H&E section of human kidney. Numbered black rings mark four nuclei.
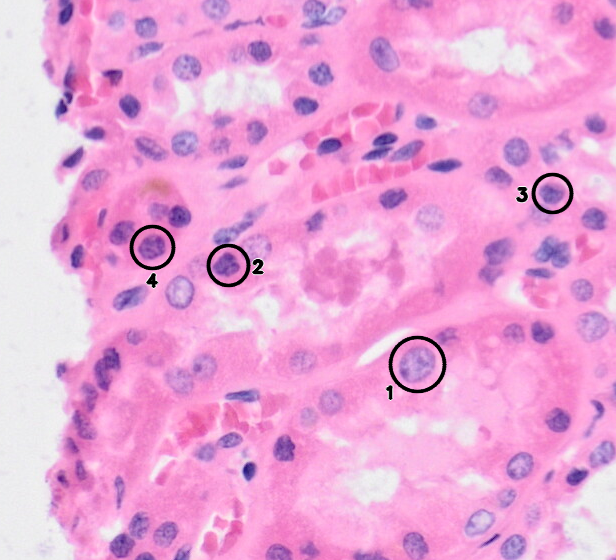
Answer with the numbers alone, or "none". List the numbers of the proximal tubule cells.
1, 2, 4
